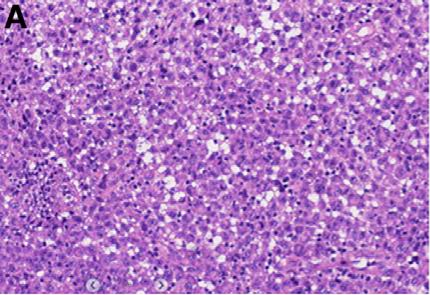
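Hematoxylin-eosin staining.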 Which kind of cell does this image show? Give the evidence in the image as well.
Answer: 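Sheets of closely packed cells fill the field without glandular or nested arrangement.
Answer: tumor cells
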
